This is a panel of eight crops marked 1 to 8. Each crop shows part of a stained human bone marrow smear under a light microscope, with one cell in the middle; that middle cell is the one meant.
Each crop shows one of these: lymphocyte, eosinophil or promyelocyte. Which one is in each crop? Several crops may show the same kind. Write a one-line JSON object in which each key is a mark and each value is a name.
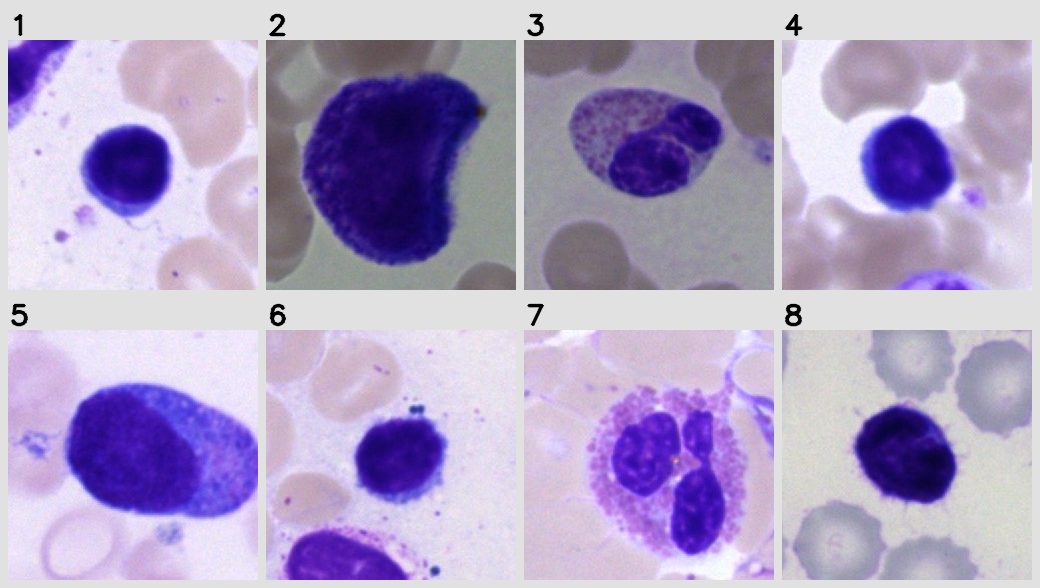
{"1": "lymphocyte", "2": "promyelocyte", "3": "eosinophil", "4": "lymphocyte", "5": "promyelocyte", "6": "lymphocyte", "7": "eosinophil", "8": "lymphocyte"}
